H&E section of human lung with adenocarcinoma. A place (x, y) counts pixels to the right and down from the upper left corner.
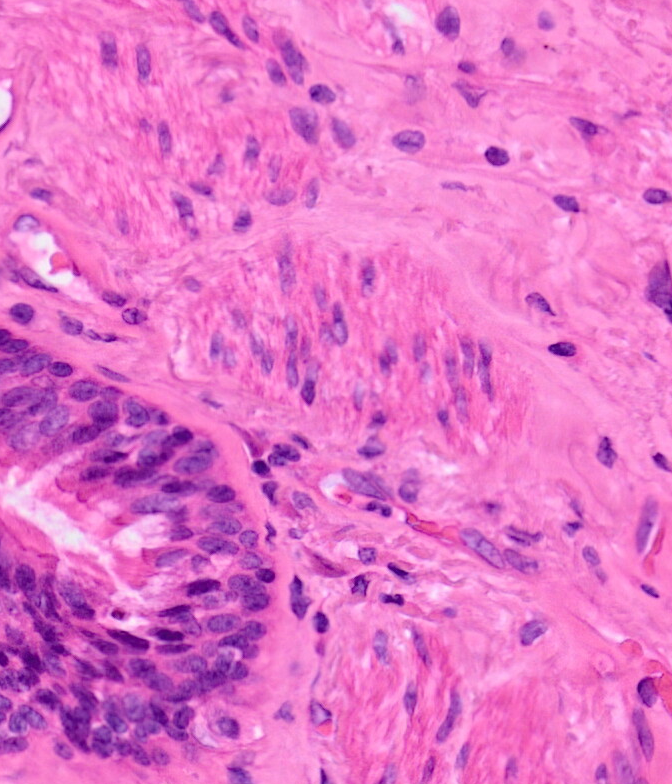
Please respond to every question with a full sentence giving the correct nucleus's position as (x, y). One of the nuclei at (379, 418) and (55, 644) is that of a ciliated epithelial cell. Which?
The nucleus that belongs to a ciliated epithelial cell is located at (55, 644).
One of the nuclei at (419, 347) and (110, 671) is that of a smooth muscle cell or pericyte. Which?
Of these two nuclei, it is the one at (419, 347) that belongs to a smooth muscle cell or pericyte.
